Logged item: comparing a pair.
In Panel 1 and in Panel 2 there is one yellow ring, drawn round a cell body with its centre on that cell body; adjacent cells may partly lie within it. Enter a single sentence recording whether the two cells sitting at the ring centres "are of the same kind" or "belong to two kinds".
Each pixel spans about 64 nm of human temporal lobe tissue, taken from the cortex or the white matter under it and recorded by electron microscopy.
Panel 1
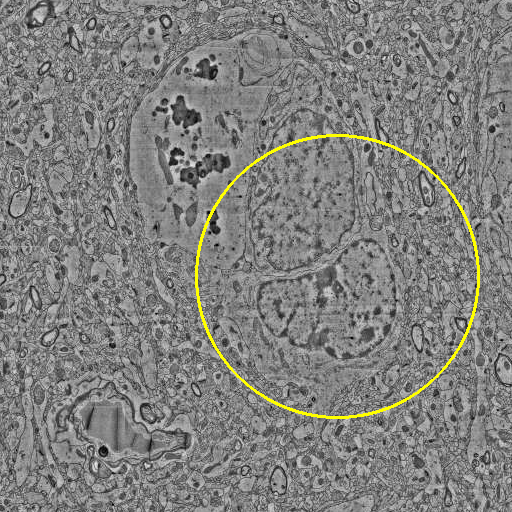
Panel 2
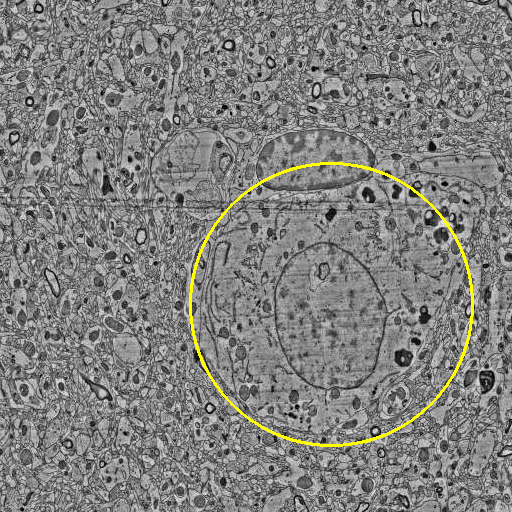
Logged: the cells centred in the rings of Panel 1 and Panel 2 belong to two kinds.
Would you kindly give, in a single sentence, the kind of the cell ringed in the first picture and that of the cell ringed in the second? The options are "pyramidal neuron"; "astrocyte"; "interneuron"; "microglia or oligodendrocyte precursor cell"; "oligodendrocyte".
The second cell is a pyramidal neuron, and the first cell is a microglial cell or oligodendrocyte precursor cell.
